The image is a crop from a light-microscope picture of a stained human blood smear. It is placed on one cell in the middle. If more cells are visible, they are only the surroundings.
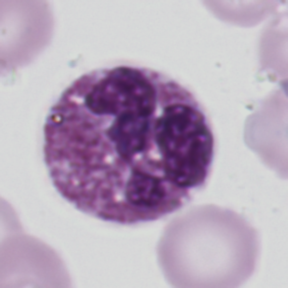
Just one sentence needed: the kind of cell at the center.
The single cell at the center of the crop is an eosinophil.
